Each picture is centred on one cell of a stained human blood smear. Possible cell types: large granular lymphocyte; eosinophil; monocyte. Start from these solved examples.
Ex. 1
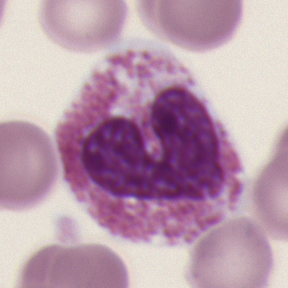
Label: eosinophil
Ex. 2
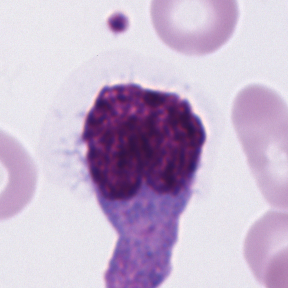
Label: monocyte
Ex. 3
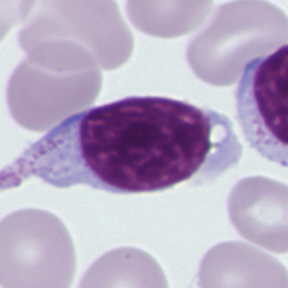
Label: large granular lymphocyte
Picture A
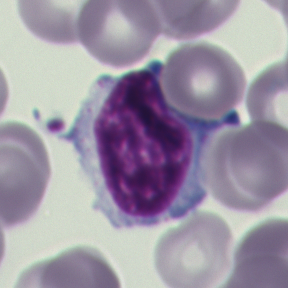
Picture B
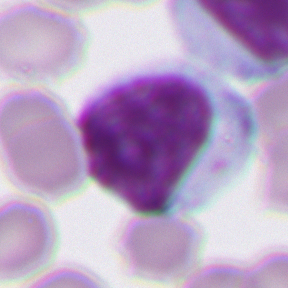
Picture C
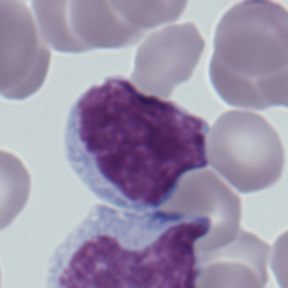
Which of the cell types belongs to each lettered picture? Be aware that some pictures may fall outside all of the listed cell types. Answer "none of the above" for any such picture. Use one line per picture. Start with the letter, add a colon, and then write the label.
A: none of the above
B: none of the above
C: none of the above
